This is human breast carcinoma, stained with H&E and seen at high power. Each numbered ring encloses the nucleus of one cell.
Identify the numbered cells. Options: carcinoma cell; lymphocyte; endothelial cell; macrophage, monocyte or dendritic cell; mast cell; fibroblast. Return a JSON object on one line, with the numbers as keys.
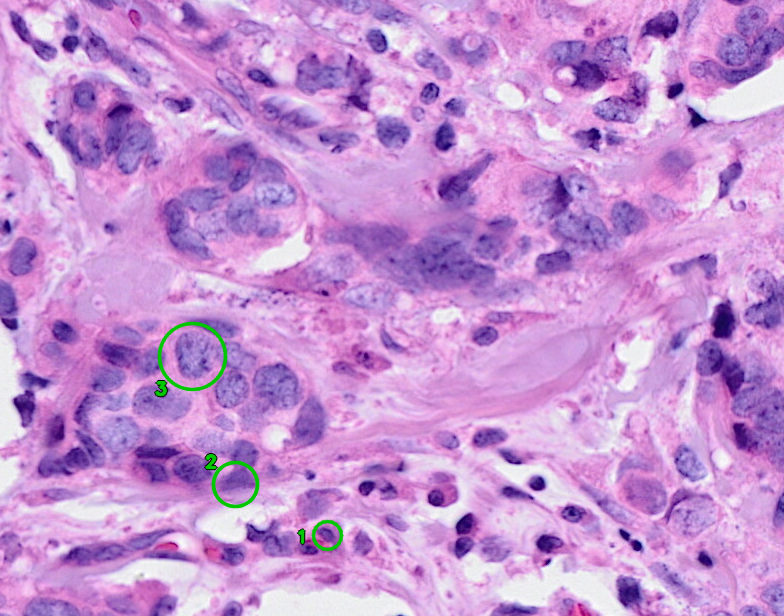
{"1": "endothelial cell", "2": "carcinoma cell", "3": "carcinoma cell"}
